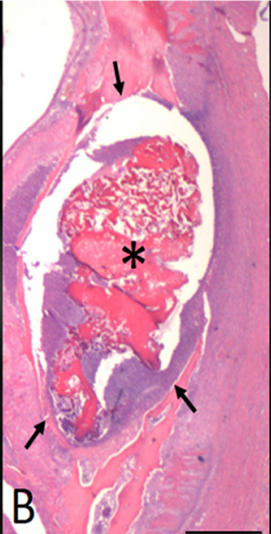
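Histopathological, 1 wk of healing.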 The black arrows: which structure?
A: extraction socket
